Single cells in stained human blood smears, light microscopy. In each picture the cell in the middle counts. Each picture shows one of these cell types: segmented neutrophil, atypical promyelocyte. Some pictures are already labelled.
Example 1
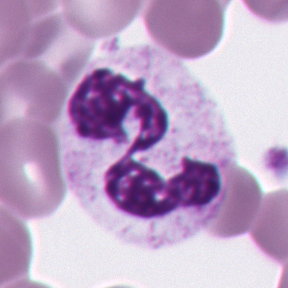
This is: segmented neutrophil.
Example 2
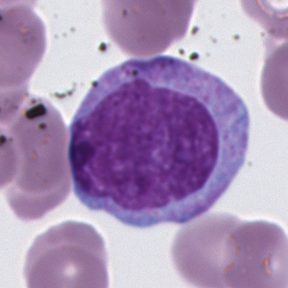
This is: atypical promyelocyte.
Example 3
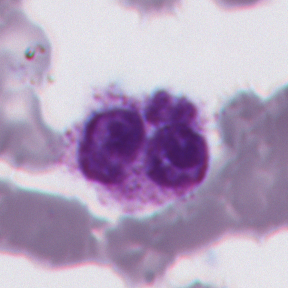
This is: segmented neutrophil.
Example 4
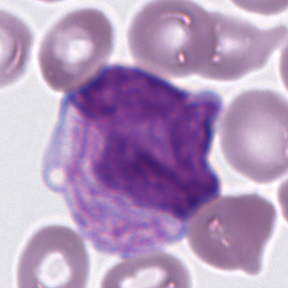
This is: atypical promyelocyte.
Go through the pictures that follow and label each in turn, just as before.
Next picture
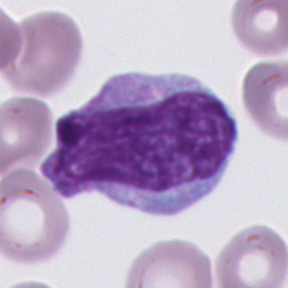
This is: atypical promyelocyte.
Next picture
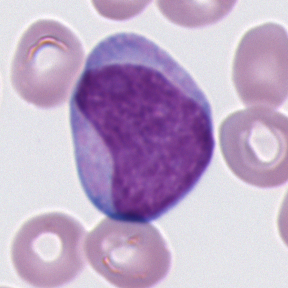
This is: atypical promyelocyte.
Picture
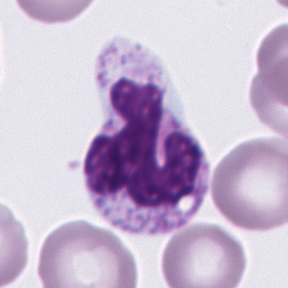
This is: segmented neutrophil.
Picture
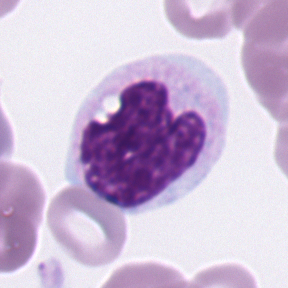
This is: segmented neutrophil.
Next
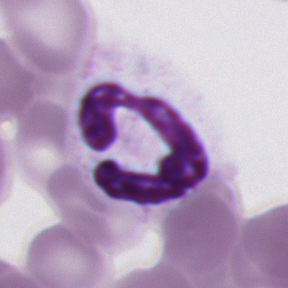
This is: segmented neutrophil.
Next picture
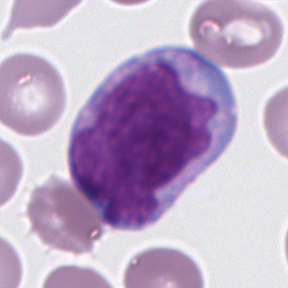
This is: atypical promyelocyte.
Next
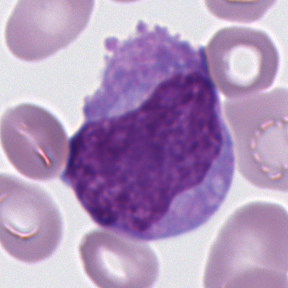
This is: atypical promyelocyte.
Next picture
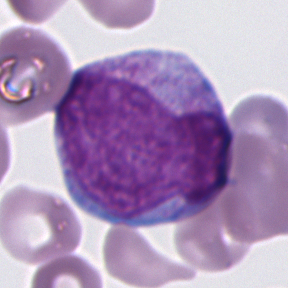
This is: atypical promyelocyte.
